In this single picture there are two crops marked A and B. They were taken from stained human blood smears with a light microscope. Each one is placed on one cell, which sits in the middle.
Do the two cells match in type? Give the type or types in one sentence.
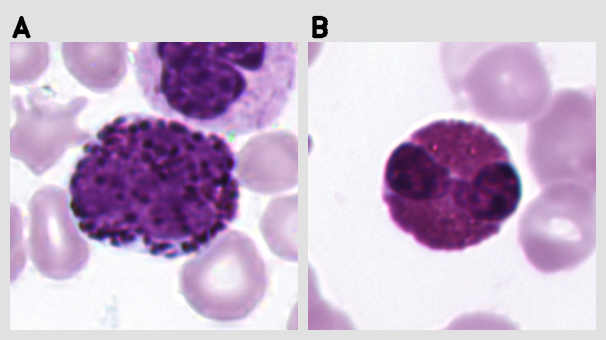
No, crop A displays a basophil, and crop B displays an eosinophil.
